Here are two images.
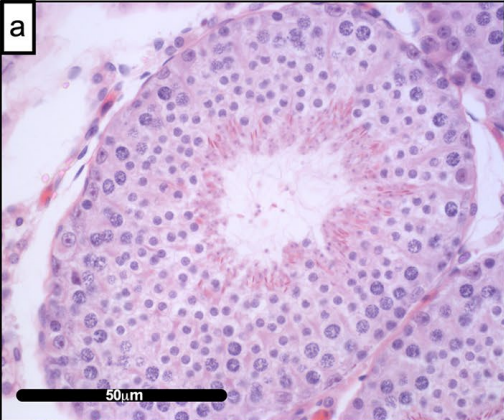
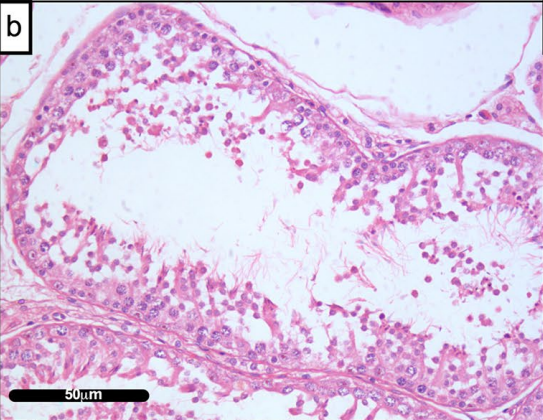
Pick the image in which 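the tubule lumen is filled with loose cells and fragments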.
The second image.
